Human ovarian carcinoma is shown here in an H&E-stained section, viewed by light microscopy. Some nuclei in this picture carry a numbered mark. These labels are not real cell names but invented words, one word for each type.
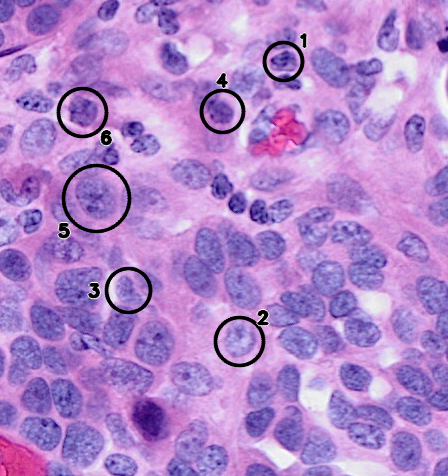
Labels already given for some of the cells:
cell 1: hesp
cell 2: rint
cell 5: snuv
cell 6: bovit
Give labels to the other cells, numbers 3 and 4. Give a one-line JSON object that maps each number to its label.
{"3": "snuv", "4": "hesp"}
